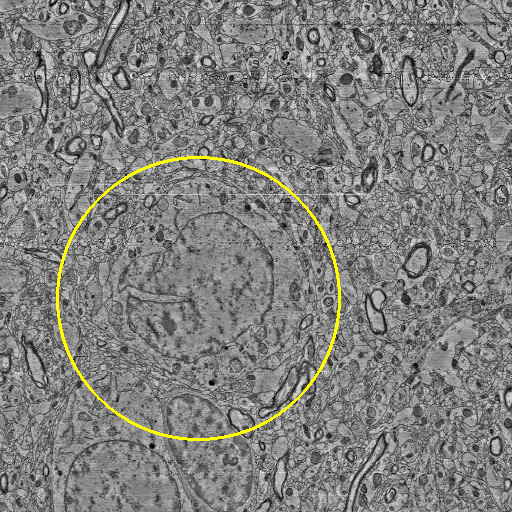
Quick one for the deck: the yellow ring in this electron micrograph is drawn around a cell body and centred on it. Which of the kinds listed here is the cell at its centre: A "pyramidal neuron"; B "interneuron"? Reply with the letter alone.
A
